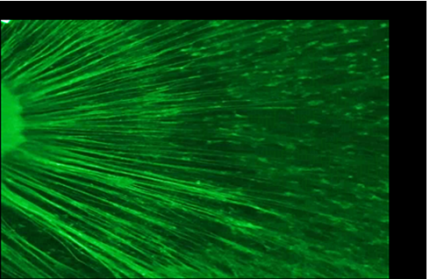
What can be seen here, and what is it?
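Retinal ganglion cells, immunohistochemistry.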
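Numerous long, thin axons extend from a dense, brightly labelled cell mass at the left edge and fan out across the field to the right. The fibres are fine, mostly straight and roughly parallel, lying close together, with a few small bright dots scattered between them.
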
